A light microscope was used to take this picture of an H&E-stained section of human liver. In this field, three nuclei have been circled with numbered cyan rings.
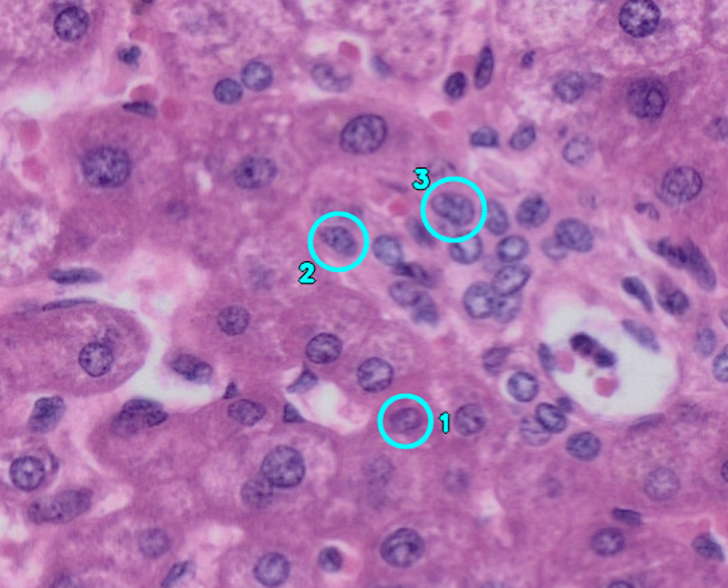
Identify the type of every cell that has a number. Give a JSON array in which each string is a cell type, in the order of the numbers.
["hepatocyte", "cholangiocyte", "cholangiocyte"]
